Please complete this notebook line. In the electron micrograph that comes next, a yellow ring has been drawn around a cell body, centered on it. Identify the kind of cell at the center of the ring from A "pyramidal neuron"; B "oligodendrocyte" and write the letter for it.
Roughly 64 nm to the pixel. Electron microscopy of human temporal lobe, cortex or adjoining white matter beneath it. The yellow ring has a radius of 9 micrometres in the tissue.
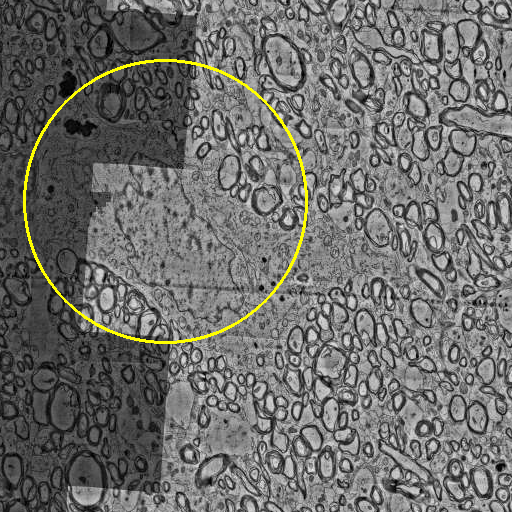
A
